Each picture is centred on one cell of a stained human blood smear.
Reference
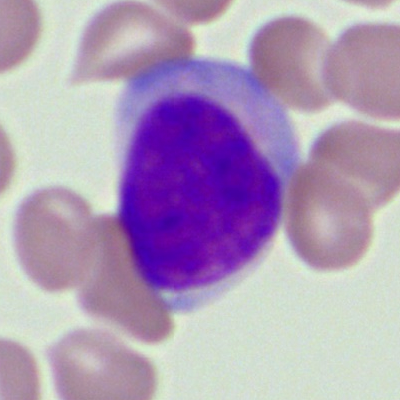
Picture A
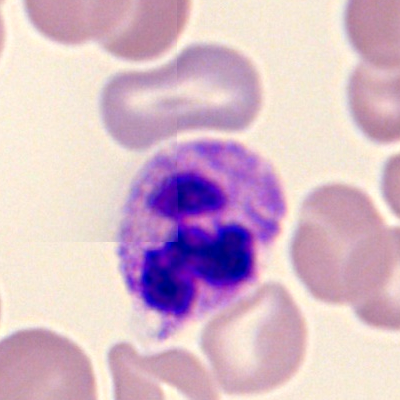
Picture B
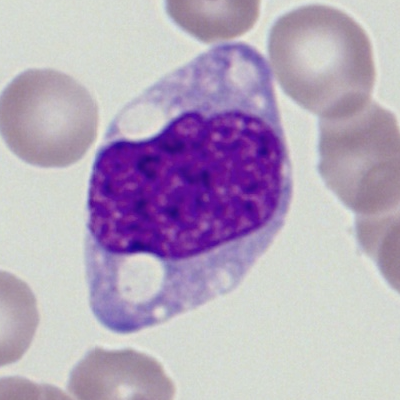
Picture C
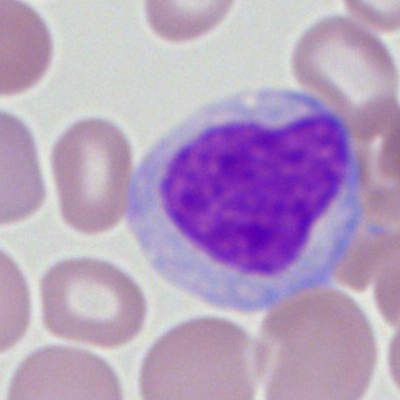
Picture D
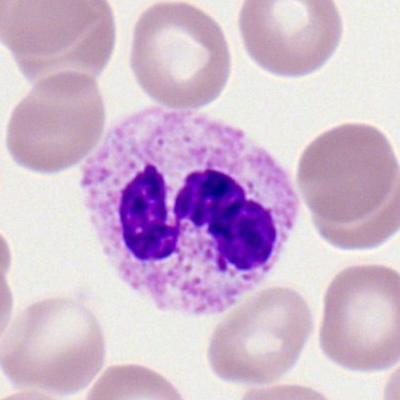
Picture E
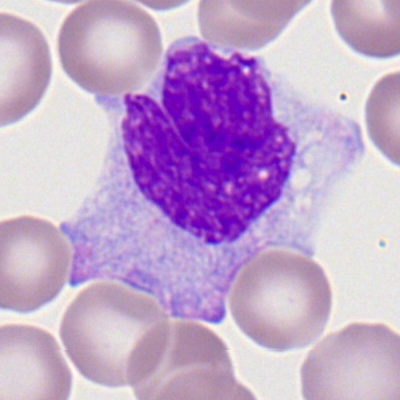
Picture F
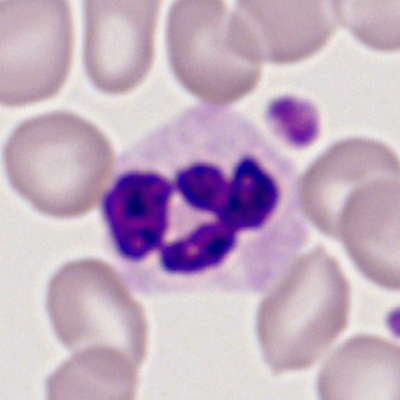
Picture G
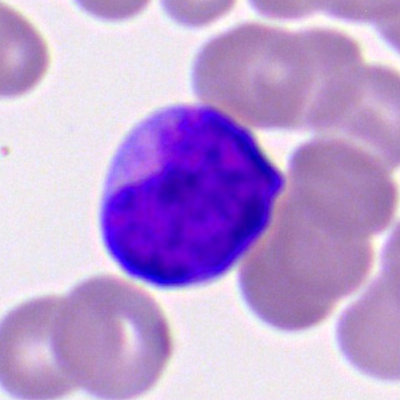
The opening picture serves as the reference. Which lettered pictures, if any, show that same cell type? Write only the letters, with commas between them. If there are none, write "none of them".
G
